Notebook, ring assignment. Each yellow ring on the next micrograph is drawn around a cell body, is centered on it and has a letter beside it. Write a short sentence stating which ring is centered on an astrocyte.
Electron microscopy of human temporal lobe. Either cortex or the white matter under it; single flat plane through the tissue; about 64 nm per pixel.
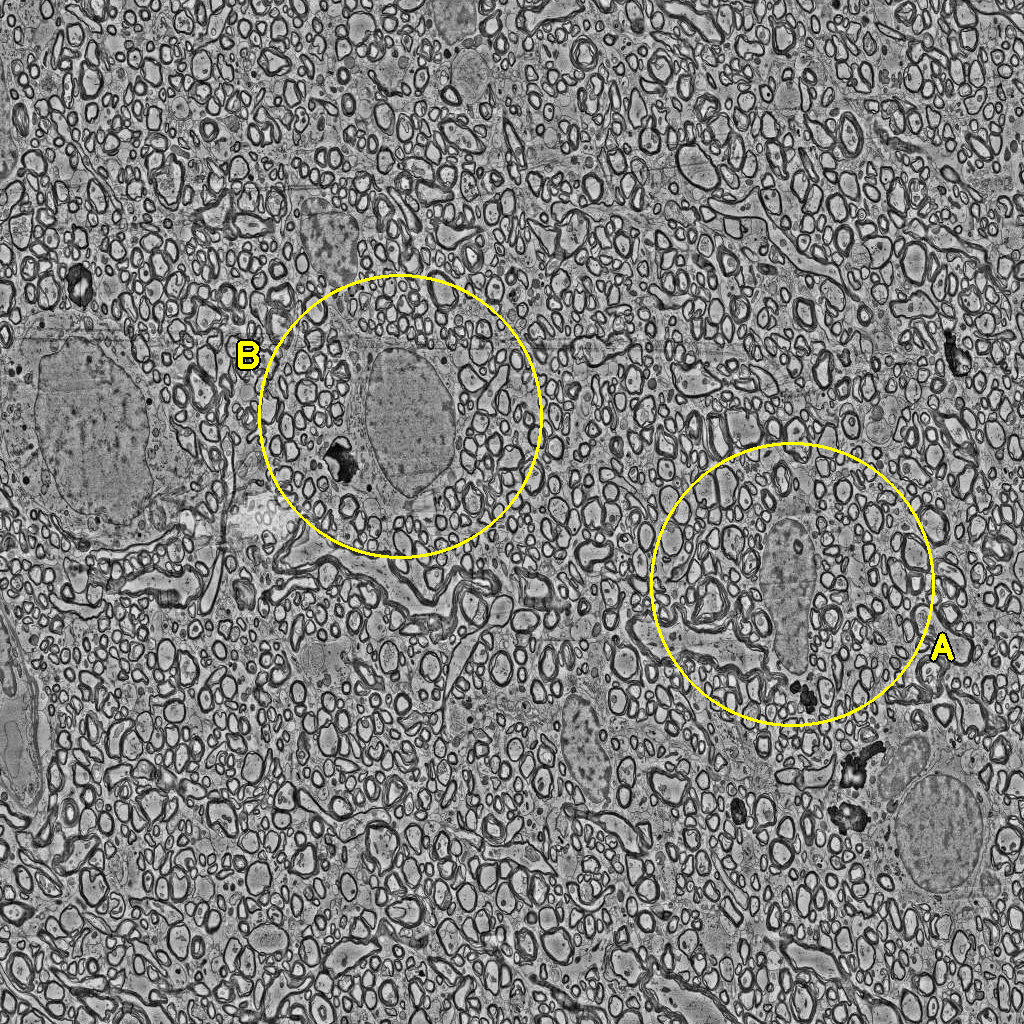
Ring B is centered on it.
